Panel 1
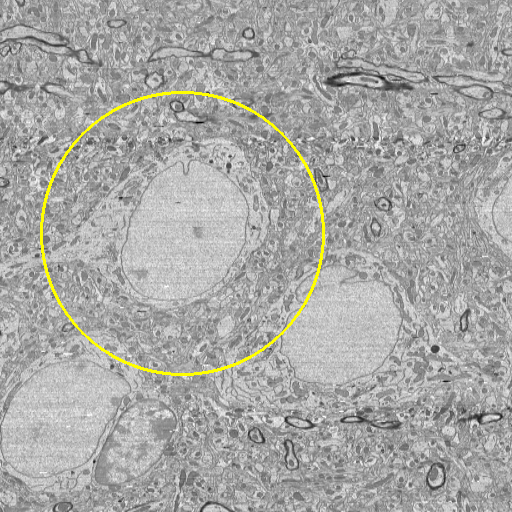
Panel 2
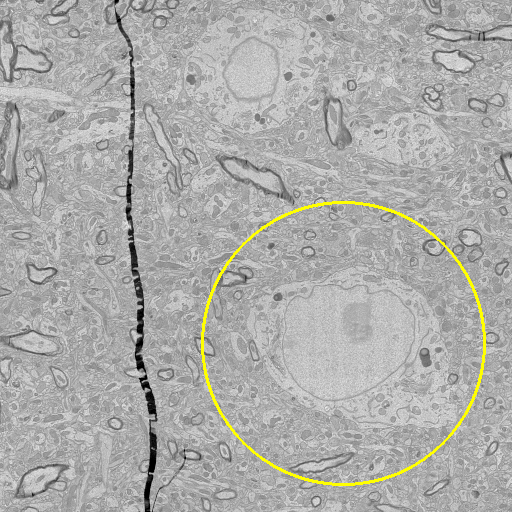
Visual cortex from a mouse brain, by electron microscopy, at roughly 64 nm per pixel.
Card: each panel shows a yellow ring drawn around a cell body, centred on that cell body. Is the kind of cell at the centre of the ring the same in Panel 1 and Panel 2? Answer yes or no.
yes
